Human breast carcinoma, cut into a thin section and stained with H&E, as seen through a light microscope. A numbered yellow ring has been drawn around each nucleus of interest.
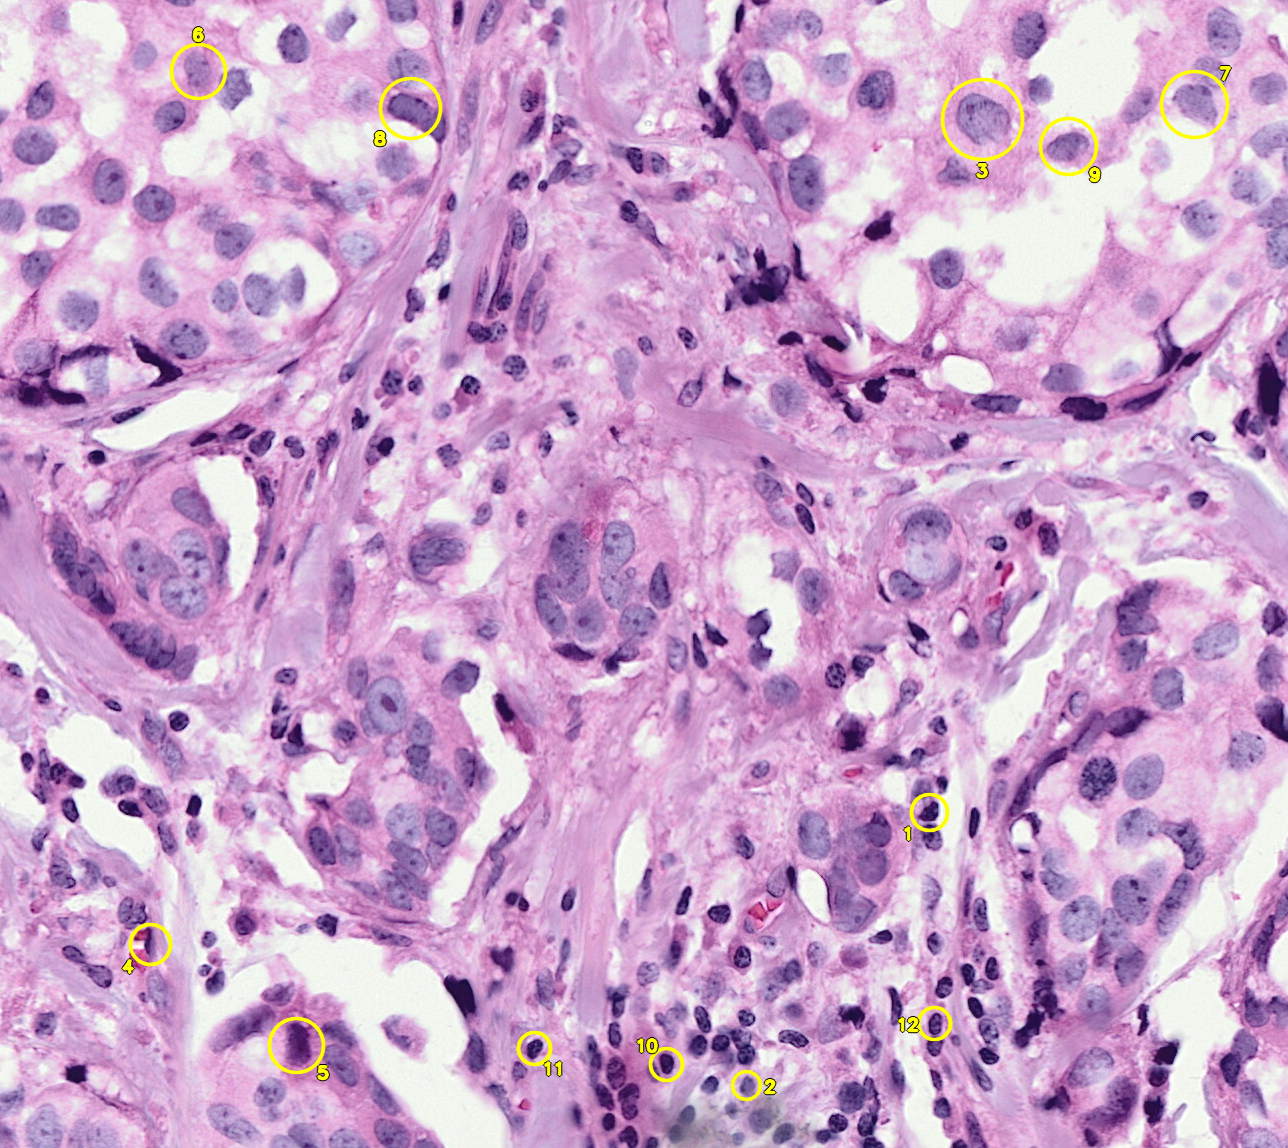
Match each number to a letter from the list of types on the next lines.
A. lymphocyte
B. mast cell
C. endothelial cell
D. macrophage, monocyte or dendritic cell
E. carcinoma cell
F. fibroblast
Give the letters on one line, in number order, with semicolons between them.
A; A; E; C; E; E; E; E; E; A; A; A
